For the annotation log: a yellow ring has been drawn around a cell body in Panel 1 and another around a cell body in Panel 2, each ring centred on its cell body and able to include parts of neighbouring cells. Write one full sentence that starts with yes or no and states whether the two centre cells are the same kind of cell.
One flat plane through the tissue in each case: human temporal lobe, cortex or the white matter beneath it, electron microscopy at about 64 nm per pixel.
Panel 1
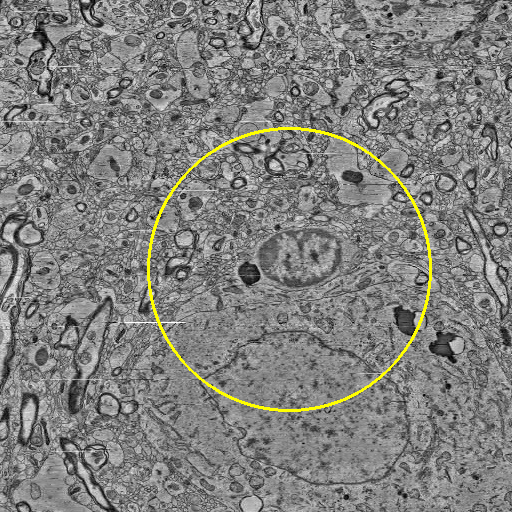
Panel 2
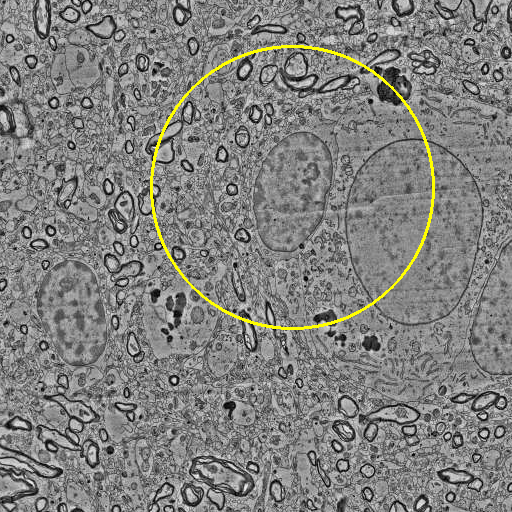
Yes, the two centre cells are the same kind of cell.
